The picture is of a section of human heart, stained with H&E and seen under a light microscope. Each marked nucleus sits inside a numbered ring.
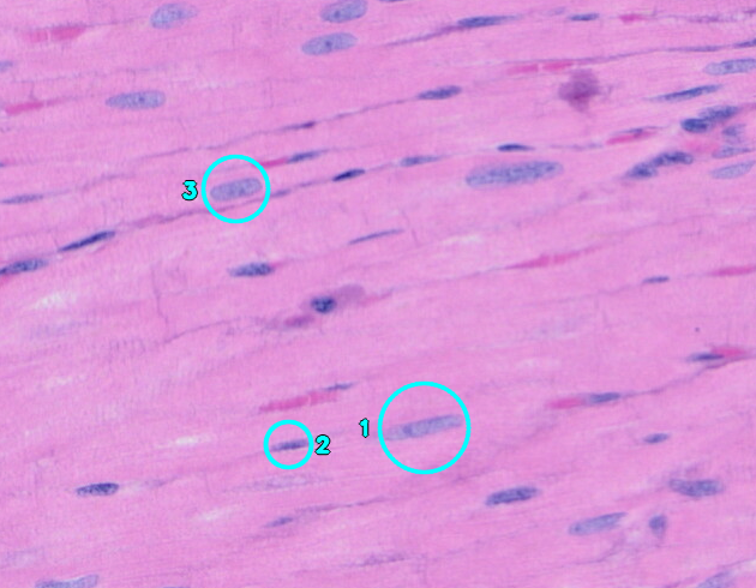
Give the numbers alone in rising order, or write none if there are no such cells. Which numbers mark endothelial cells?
2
